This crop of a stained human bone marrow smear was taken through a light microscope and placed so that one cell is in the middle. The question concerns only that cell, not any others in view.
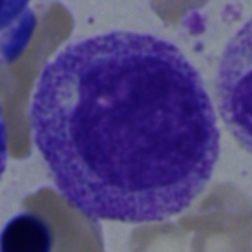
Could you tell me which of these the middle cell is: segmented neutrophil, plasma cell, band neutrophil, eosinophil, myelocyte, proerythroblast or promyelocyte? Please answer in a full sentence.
The cell at the heart of this crop is a myelocyte.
